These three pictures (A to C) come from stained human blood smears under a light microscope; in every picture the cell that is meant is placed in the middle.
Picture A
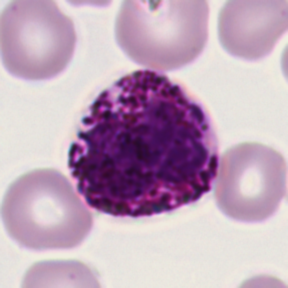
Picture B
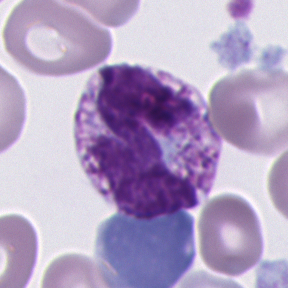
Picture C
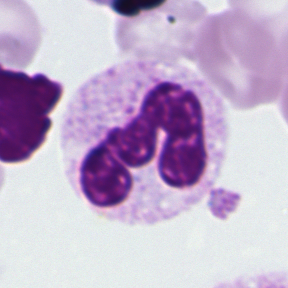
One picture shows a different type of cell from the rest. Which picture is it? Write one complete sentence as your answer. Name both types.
The different one is picture C; it shows a segmented neutrophil, whereas all the others show basophils.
